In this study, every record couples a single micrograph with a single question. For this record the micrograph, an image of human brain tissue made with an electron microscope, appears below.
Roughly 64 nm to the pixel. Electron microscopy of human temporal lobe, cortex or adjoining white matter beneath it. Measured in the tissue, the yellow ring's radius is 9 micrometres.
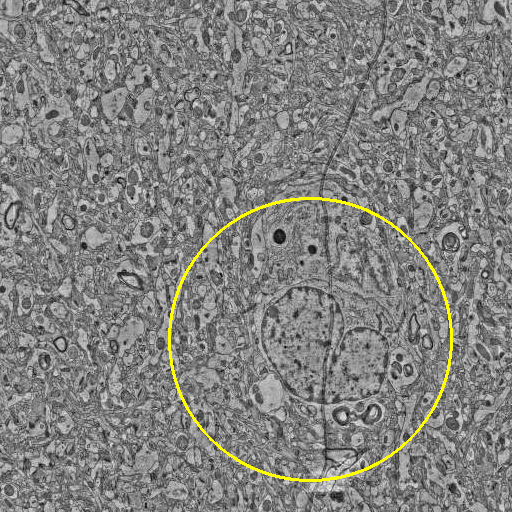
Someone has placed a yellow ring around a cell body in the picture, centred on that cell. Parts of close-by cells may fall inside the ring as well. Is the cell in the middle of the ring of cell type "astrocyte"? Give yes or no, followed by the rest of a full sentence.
No, the cell centred in the ring shown in the picture has a different cell type.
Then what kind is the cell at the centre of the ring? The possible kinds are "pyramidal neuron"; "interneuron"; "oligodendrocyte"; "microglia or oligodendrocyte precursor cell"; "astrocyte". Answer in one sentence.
It is a microglial cell or oligodendrocyte precursor cell at the centre of the ring.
